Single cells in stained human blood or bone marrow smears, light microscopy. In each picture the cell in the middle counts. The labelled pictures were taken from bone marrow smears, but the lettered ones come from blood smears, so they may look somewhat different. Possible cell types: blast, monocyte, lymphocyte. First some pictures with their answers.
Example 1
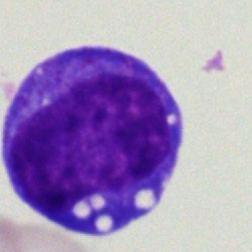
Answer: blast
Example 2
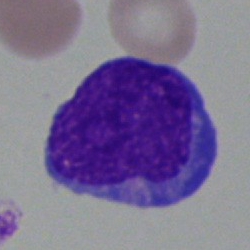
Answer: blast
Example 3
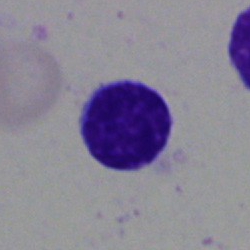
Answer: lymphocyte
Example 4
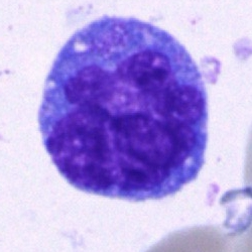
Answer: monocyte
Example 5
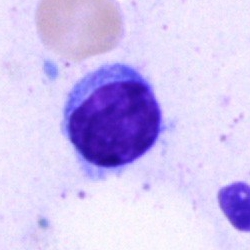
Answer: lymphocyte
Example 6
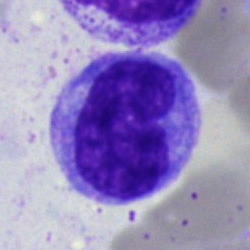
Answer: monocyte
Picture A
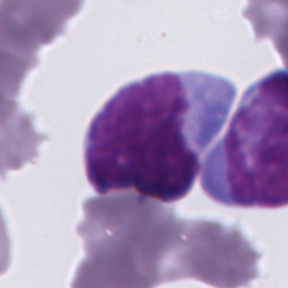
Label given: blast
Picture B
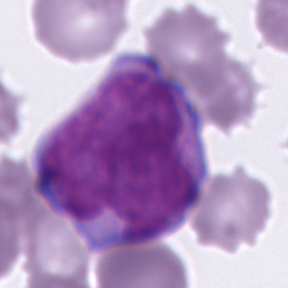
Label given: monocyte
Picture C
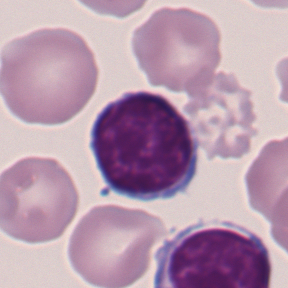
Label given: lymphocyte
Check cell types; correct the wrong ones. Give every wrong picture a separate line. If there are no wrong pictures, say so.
B: change monocyte to blast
